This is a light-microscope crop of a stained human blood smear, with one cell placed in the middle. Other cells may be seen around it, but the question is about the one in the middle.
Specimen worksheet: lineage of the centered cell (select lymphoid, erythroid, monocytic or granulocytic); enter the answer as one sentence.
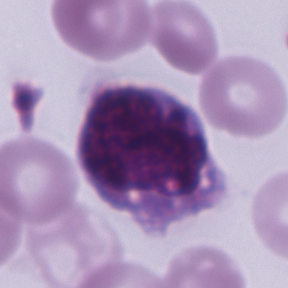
The monocytic lineage is the lineage of the cell in the middle.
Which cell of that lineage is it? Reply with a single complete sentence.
The cell centered in this field of view is a monocyte.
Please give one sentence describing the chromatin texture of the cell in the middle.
Its chromatin is clumped in a coarse pattern.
